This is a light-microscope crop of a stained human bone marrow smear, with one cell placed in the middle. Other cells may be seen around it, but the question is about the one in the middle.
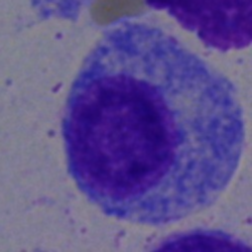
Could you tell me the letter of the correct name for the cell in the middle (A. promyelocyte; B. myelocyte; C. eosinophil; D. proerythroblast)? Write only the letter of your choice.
B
